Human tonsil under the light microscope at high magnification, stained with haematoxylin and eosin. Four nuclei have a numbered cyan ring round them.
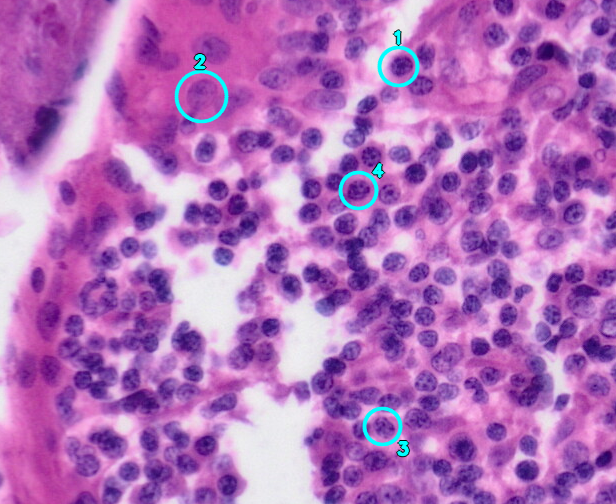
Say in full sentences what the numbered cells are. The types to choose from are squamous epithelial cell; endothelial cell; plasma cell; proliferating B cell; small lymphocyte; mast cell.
Cell 1 is a plasma cell, cell 2 is a squamous epithelial cell, cell 3 is a plasma cell and cell 4 is a plasma cell.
